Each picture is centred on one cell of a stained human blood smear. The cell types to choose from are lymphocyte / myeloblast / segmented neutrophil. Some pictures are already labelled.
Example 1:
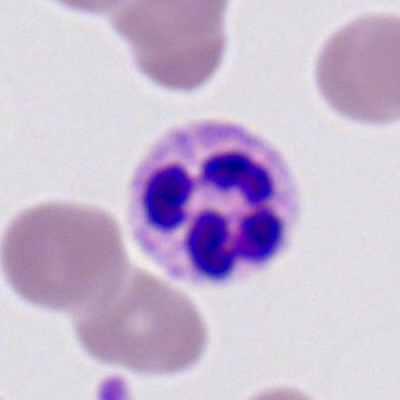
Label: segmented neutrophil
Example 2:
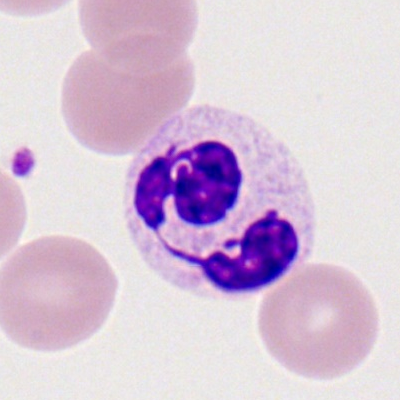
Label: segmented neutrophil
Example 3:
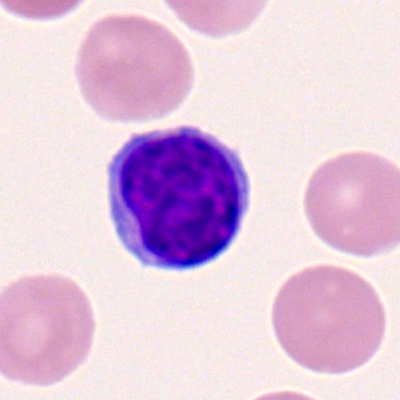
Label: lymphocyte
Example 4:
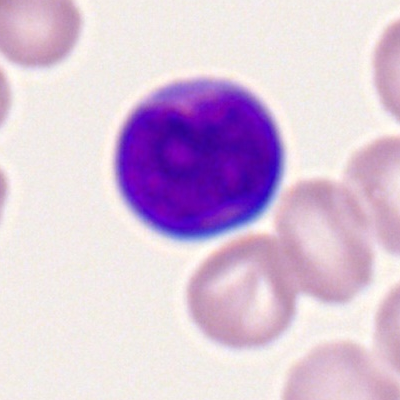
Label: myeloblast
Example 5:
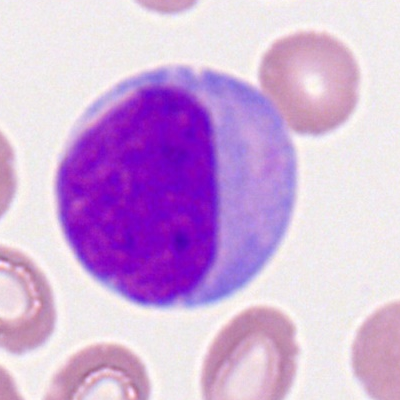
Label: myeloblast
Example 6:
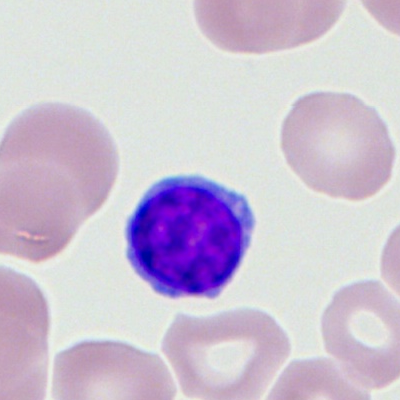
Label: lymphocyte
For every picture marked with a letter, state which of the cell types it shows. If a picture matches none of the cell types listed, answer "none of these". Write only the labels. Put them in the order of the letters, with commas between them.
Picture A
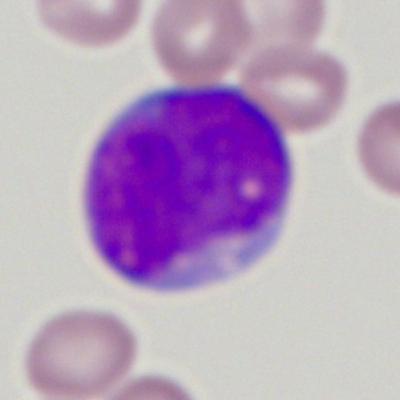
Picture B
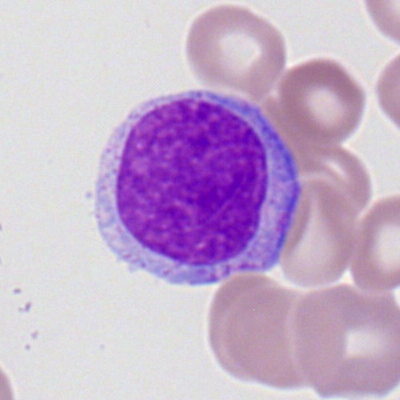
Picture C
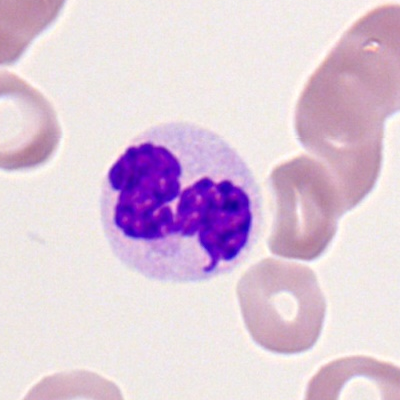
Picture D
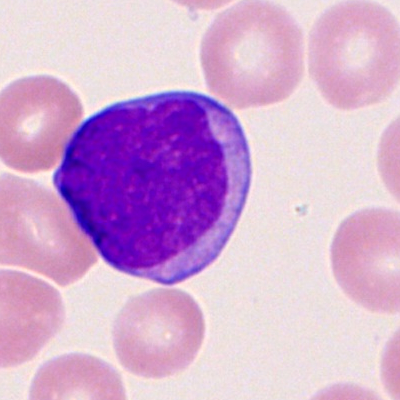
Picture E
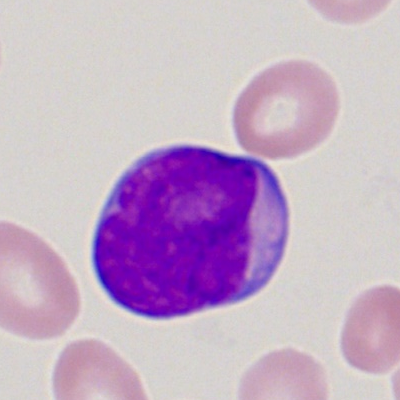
myeloblast, myeloblast, segmented neutrophil, myeloblast, myeloblast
